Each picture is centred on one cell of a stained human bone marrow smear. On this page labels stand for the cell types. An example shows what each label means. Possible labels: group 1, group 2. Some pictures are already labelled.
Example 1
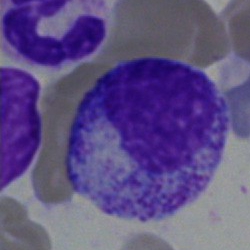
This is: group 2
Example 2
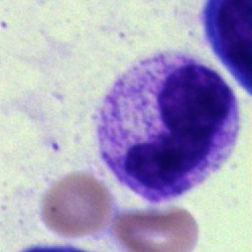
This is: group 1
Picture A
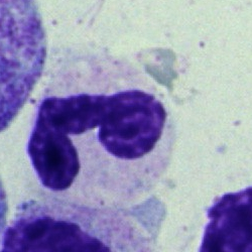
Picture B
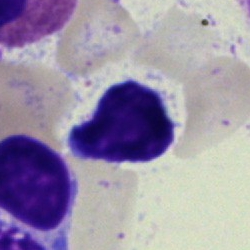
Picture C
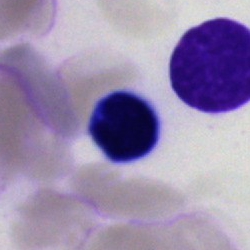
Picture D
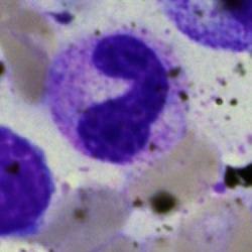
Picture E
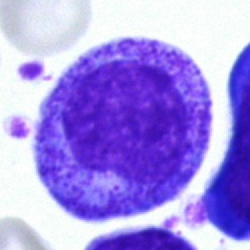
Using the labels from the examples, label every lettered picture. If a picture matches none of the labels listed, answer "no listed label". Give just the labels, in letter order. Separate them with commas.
group 1, no listed label, no listed label, group 1, group 2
